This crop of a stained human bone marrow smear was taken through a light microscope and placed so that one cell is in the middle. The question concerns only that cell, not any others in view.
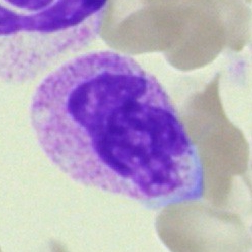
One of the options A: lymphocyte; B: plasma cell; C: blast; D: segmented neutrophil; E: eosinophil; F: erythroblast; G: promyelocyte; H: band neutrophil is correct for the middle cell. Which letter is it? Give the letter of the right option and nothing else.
D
